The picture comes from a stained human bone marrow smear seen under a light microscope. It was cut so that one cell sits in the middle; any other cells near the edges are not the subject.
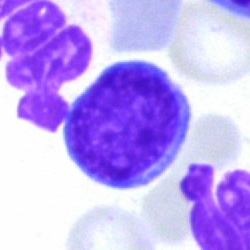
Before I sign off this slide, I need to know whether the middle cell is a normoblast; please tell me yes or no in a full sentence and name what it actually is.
No, in this crop the central cell is a lymphocyte instead of a normoblast.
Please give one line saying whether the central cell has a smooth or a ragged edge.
In short, the margin is smooth with no projections at all.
